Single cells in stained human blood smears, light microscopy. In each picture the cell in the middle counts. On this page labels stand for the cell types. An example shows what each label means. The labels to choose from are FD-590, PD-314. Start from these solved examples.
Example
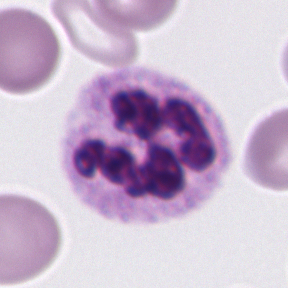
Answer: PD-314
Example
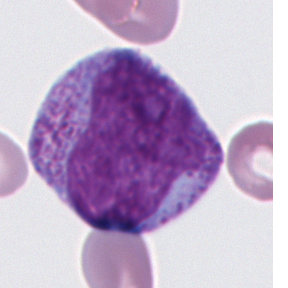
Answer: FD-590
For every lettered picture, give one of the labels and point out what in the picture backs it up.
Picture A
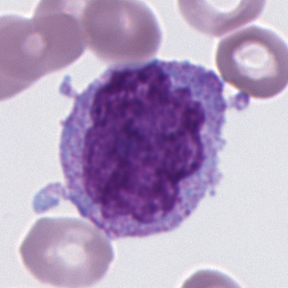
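Label: FD-590. The nucleus is a single irregular, lumpy mass that fills most of the cell.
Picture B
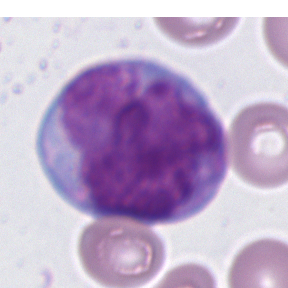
Label: FD-590. The nucleus fills most of the cell, leaving a modest rim of cytoplasm.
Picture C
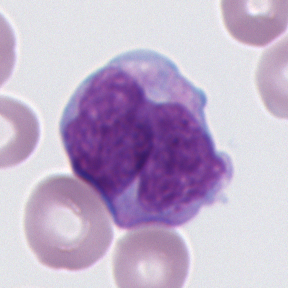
Label: FD-590. The nucleus fills most of the cell.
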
